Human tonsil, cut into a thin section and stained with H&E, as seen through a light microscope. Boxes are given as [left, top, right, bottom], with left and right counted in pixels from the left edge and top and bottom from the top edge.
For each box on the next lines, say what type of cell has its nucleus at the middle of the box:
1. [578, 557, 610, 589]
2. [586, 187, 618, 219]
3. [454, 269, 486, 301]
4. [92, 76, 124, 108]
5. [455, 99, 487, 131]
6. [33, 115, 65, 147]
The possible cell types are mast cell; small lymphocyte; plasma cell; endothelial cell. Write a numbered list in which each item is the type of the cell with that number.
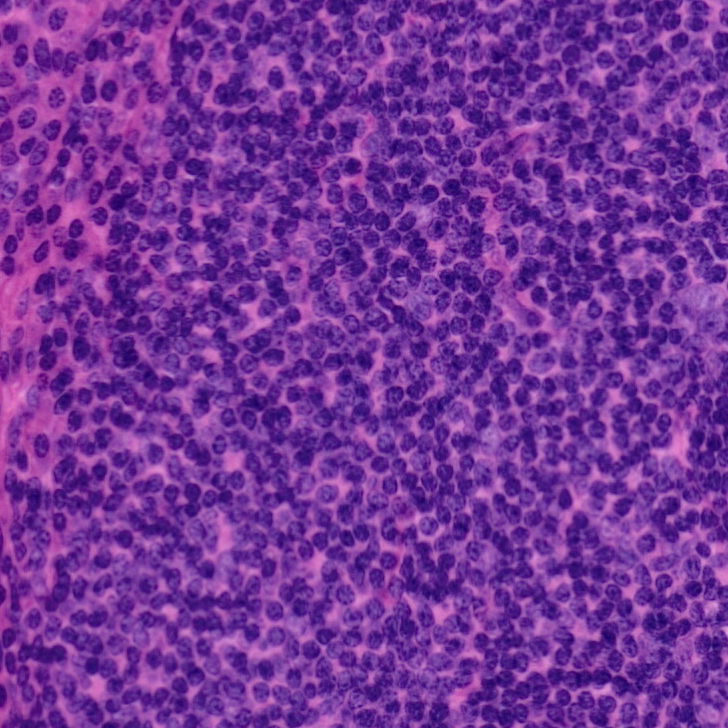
1. small lymphocyte
2. small lymphocyte
3. small lymphocyte
4. plasma cell
5. small lymphocyte
6. plasma cell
